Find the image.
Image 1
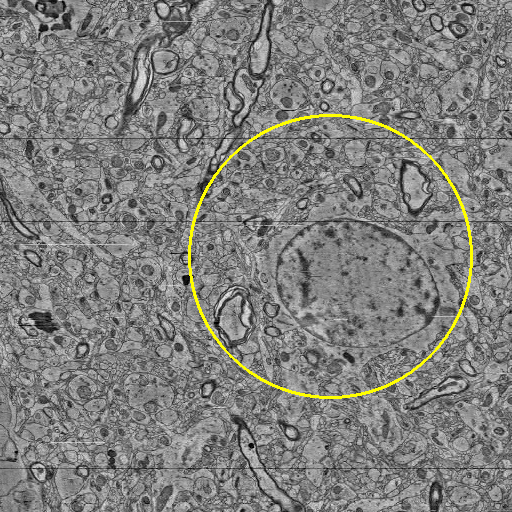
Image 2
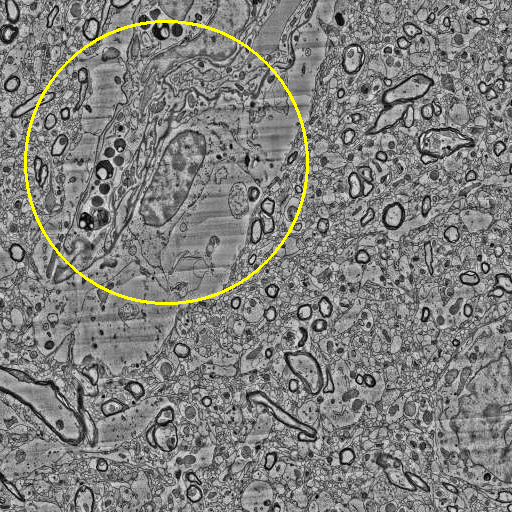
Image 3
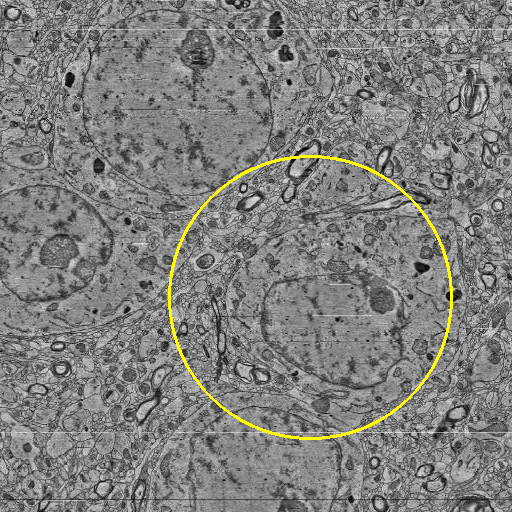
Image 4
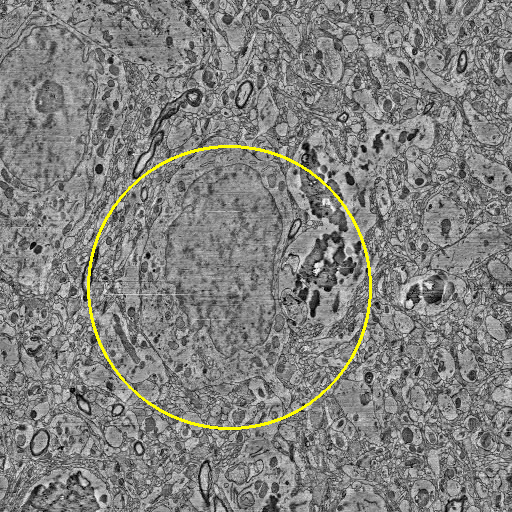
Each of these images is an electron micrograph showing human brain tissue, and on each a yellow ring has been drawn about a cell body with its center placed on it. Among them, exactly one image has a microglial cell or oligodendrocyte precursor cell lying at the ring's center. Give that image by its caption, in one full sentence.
The ring in Image 2 is centered on the cell the question describes.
